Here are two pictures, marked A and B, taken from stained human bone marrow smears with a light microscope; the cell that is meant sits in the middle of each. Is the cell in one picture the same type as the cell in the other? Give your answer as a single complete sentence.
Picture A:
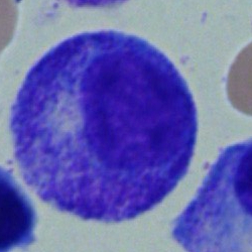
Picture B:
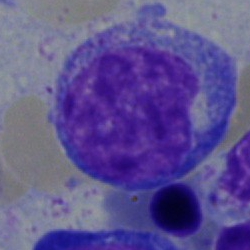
No, picture A shows a promyelocyte and picture B shows a blast.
